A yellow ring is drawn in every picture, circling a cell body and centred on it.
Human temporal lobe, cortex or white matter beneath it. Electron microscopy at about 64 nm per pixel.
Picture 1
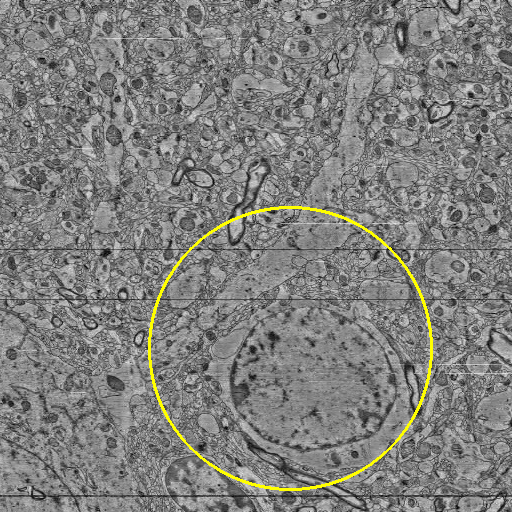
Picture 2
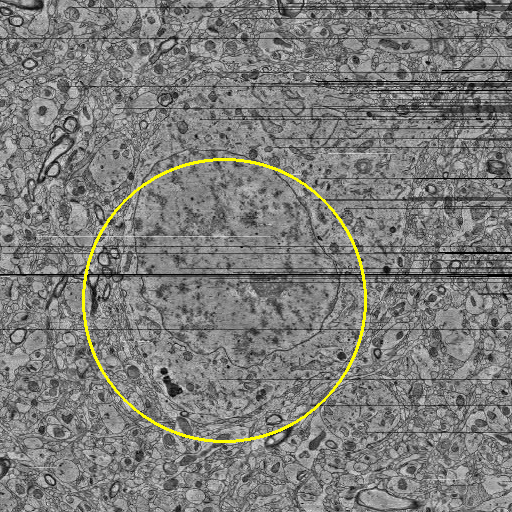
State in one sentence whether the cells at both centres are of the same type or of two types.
The cells at the two ring centres, one per picture, are of two types.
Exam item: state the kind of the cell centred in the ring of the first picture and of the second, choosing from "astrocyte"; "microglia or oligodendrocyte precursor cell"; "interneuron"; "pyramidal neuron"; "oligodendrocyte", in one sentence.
The first picture shows an astrocyte at the ring centre and the second shows a pyramidal neuron.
